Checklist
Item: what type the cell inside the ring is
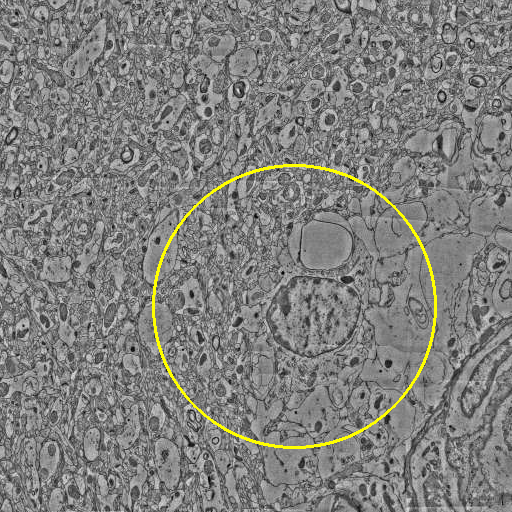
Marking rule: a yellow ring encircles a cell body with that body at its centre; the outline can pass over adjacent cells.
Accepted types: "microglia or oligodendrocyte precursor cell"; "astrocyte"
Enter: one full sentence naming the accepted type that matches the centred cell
The entry is that a microglial cell or oligodendrocyte precursor cell lies at the centre of the yellow ring.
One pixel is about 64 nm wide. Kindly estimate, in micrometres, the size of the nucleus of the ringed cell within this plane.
About 6 by 5 micrometers, in this plane.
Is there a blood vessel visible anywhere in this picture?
Yes, a blood vessel shows in the picture.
